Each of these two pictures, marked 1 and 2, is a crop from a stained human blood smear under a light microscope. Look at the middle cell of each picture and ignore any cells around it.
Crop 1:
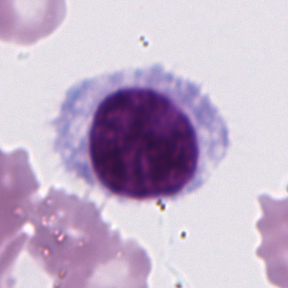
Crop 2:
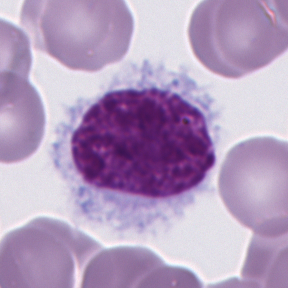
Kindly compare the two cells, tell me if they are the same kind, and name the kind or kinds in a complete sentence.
Yes, the cells at the middle of both crops are hairy cells.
